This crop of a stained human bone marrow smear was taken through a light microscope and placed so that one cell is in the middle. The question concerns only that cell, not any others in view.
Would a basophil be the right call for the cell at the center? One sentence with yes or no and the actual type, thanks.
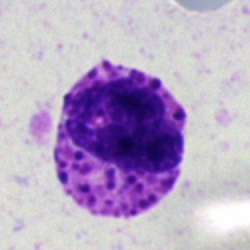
Yes, what sits in the centre of the crop is a basophil.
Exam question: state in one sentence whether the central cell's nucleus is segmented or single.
Between us, the nucleus here is just one compact mass, round, oval or kidney-shaped.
